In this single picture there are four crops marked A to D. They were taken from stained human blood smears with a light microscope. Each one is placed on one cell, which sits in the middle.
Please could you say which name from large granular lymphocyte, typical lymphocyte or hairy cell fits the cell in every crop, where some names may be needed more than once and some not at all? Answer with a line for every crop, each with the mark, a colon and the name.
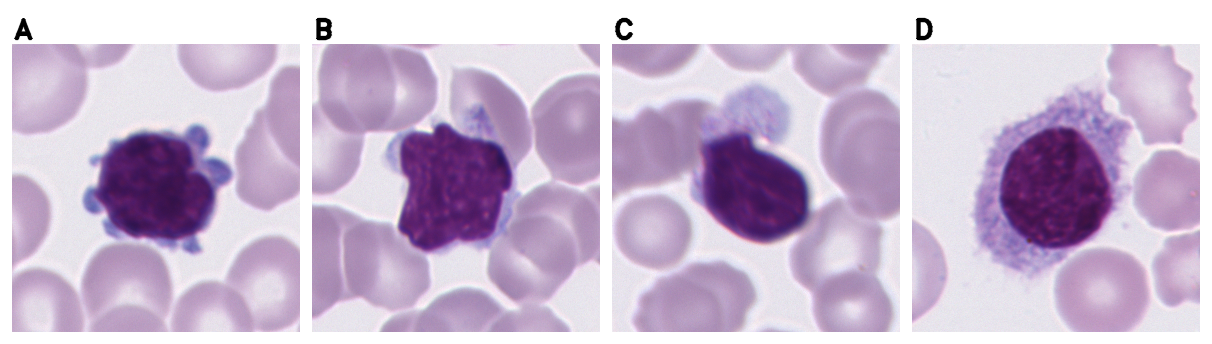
A: typical lymphocyte
B: typical lymphocyte
C: typical lymphocyte
D: hairy cell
